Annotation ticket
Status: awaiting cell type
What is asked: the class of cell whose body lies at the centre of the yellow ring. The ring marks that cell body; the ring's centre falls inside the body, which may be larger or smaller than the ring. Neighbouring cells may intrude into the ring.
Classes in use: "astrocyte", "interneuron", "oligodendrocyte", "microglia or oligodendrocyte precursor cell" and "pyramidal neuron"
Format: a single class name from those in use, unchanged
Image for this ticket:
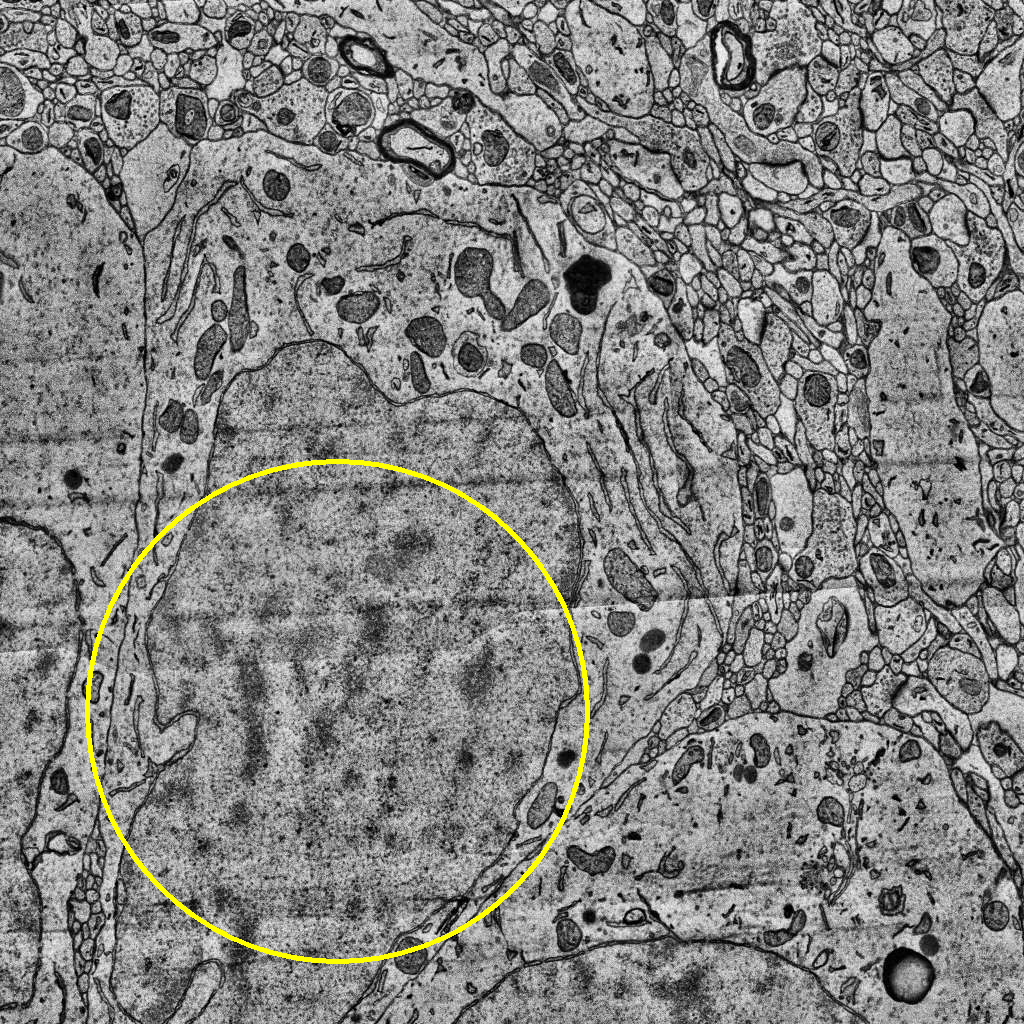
interneuron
